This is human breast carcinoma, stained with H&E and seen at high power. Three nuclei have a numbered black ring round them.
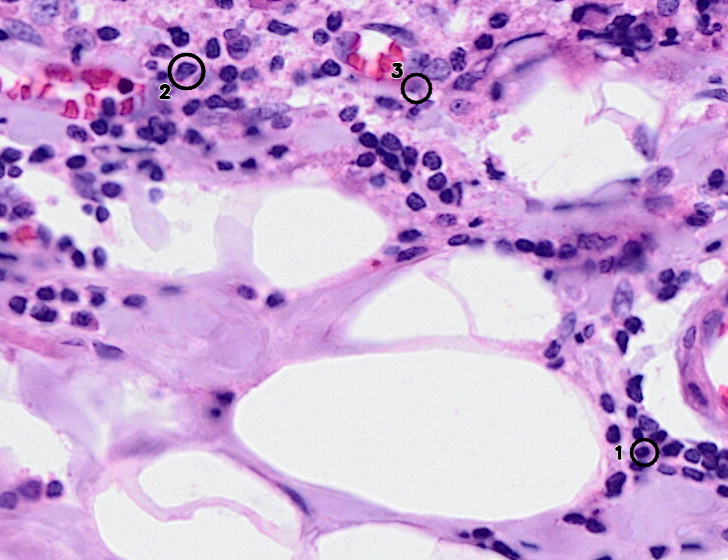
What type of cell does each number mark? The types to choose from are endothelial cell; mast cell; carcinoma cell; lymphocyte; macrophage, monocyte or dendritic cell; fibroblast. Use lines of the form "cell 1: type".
cell 1: lymphocyte
cell 2: lymphocyte
cell 3: endothelial cell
